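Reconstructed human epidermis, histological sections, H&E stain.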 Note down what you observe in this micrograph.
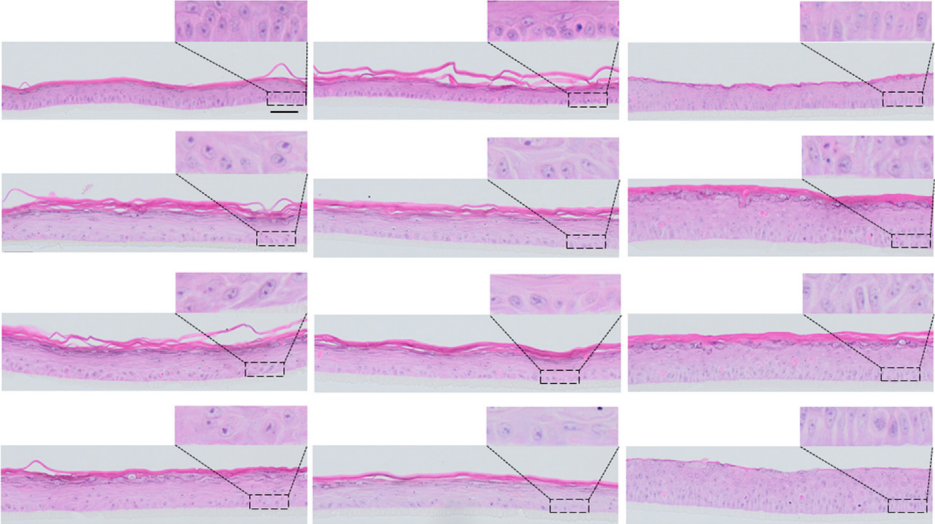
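The lower layers hold closely packed cells with round, purple nuclei, and the cells above them grow flatter toward the surface. On top lies a pink, anucleate cornified layer, which in several sections lifts away in thin wavy strands.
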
